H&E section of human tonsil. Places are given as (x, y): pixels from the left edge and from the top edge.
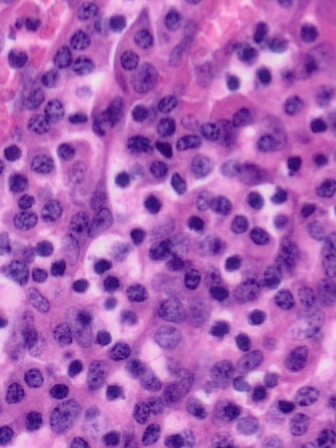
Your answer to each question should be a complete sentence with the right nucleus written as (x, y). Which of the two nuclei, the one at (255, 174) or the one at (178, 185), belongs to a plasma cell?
As for which of the two, the nucleus at (178, 185) belongs to a plasma cell.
